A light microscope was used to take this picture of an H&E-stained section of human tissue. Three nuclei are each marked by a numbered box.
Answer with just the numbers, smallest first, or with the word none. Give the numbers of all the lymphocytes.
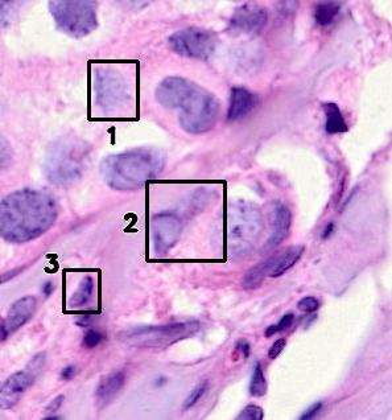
3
